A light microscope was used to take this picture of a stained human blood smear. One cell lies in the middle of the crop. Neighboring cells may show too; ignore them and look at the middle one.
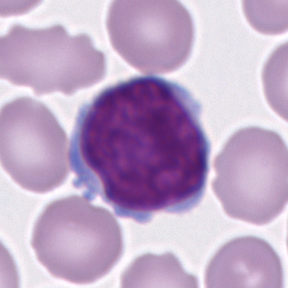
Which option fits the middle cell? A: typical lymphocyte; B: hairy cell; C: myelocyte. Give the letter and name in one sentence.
Here the right option is A, as the cell in the middle is a typical lymphocyte.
